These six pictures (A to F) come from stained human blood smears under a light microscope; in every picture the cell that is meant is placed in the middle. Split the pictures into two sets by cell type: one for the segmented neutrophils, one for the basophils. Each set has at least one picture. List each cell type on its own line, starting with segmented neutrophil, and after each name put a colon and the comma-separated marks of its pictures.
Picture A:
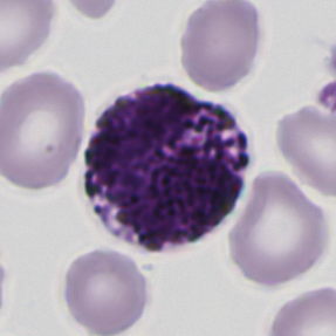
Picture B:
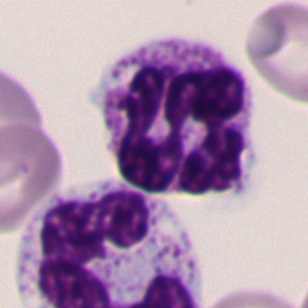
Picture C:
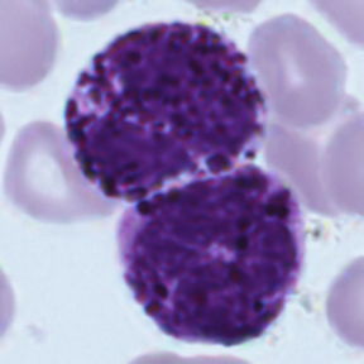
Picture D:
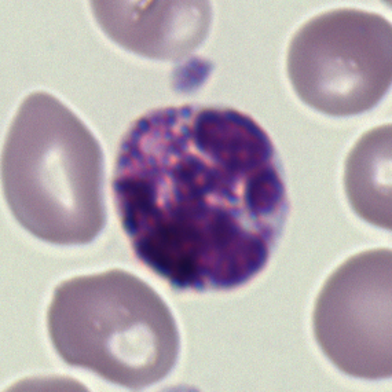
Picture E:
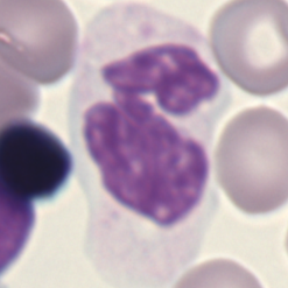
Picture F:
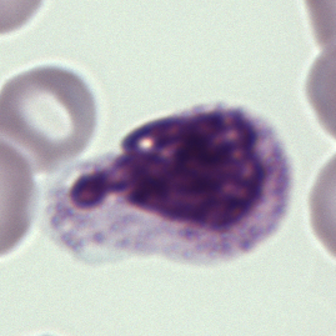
segmented neutrophil: B, E, F
basophil: A, C, D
